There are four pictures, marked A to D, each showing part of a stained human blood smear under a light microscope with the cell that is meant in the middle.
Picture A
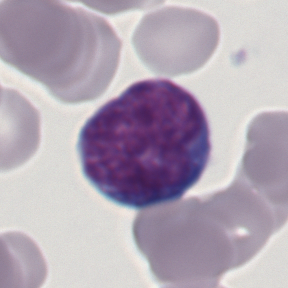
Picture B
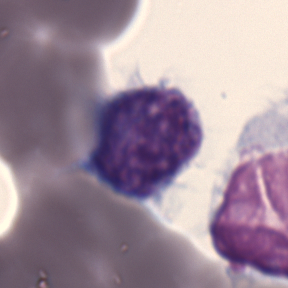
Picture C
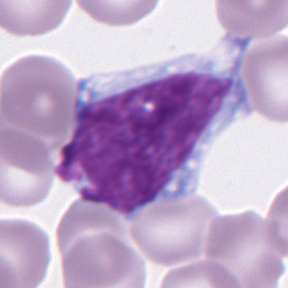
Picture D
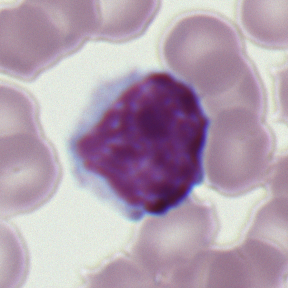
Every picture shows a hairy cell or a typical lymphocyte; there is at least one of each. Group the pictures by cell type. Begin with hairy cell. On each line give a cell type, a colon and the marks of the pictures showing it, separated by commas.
hairy cell: B
typical lymphocyte: A, C, D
